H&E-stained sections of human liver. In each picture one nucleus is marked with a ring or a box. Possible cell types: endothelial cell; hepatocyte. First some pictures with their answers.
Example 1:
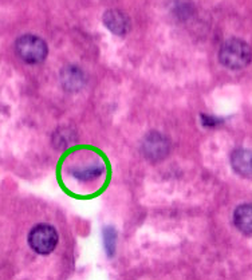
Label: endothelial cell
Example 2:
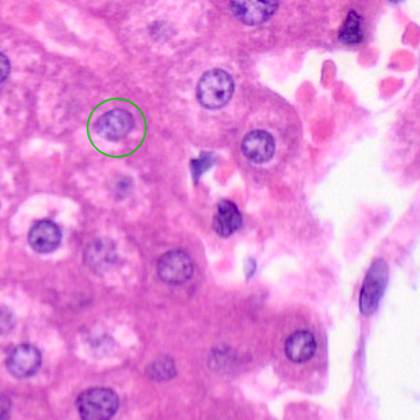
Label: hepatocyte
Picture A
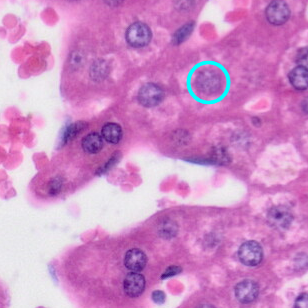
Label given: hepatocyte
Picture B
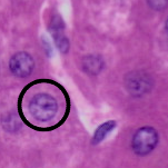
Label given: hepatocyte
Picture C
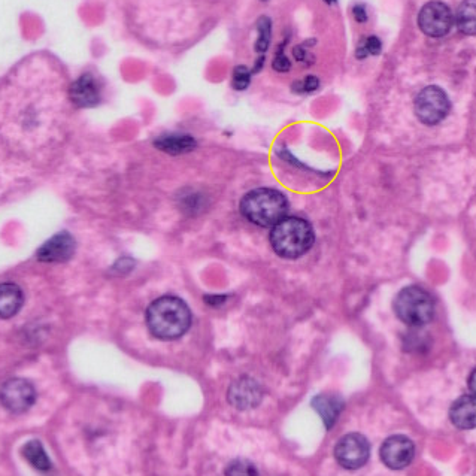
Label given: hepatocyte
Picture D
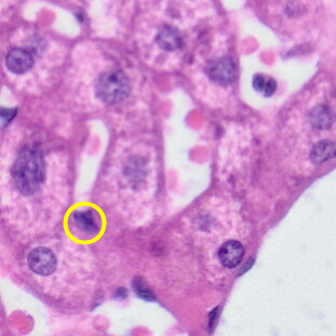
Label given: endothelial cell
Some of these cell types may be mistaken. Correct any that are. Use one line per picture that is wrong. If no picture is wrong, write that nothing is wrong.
C should be endothelial cell, not hepatocyte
